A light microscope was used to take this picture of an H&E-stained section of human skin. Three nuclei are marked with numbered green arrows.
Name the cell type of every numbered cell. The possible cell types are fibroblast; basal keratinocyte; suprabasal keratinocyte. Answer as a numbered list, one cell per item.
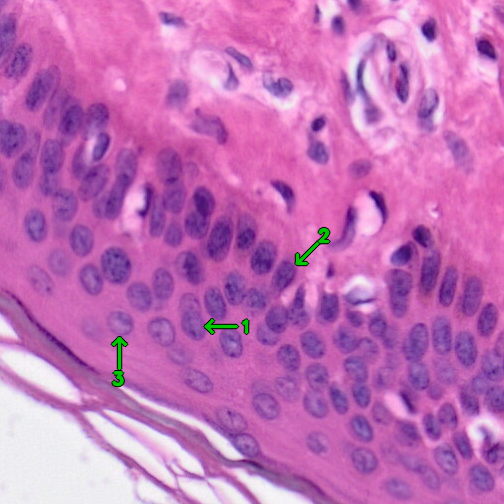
1. suprabasal keratinocyte
2. basal keratinocyte
3. suprabasal keratinocyte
